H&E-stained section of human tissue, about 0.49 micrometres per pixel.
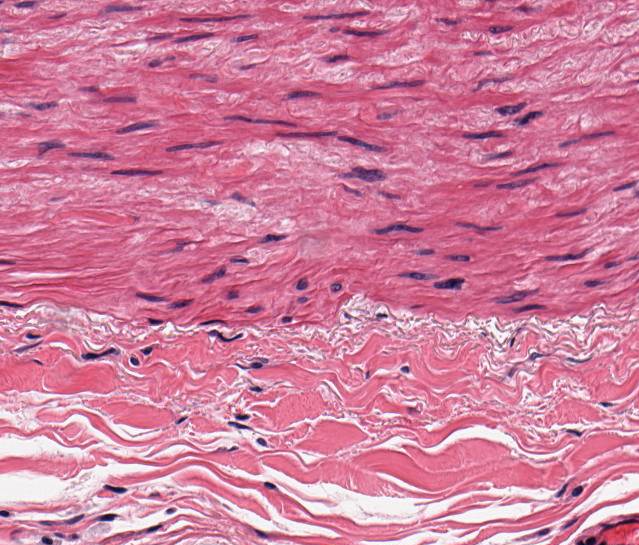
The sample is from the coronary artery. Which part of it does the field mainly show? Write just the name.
tunica media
